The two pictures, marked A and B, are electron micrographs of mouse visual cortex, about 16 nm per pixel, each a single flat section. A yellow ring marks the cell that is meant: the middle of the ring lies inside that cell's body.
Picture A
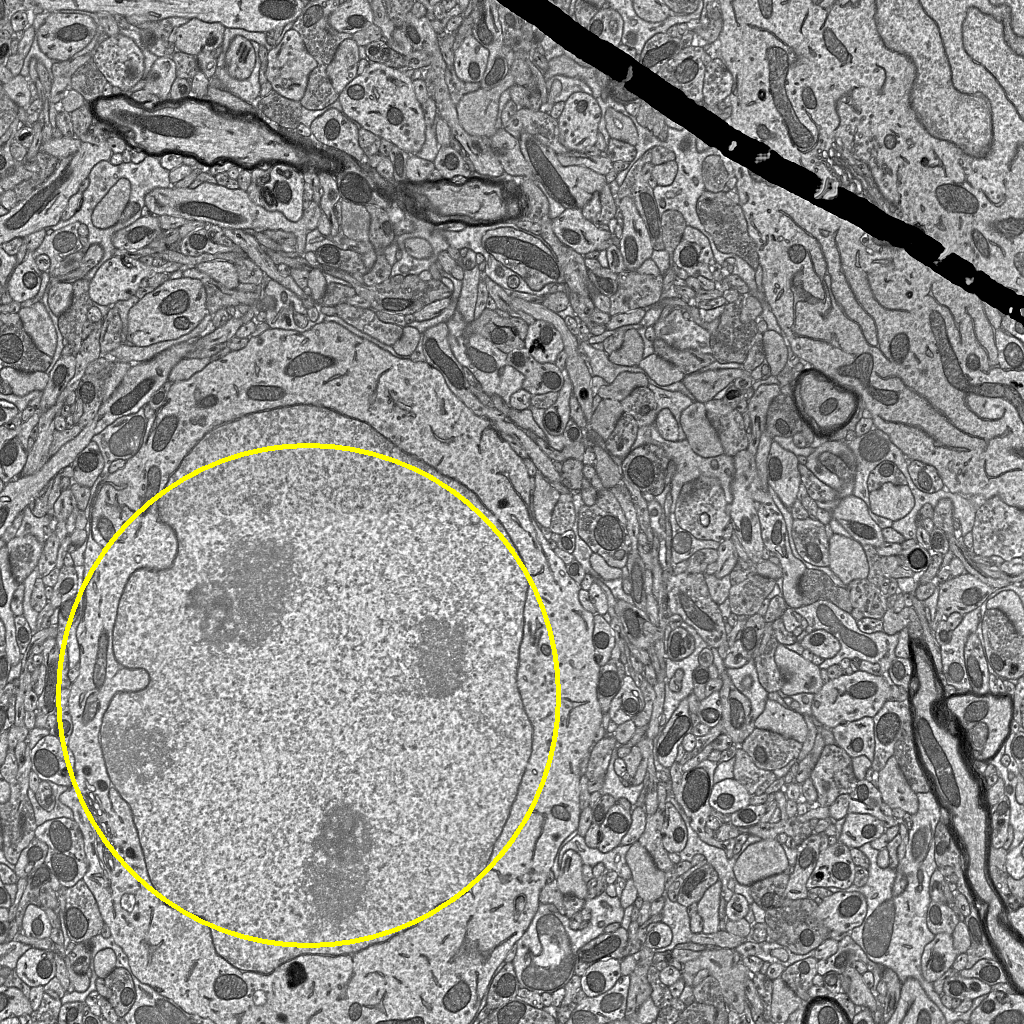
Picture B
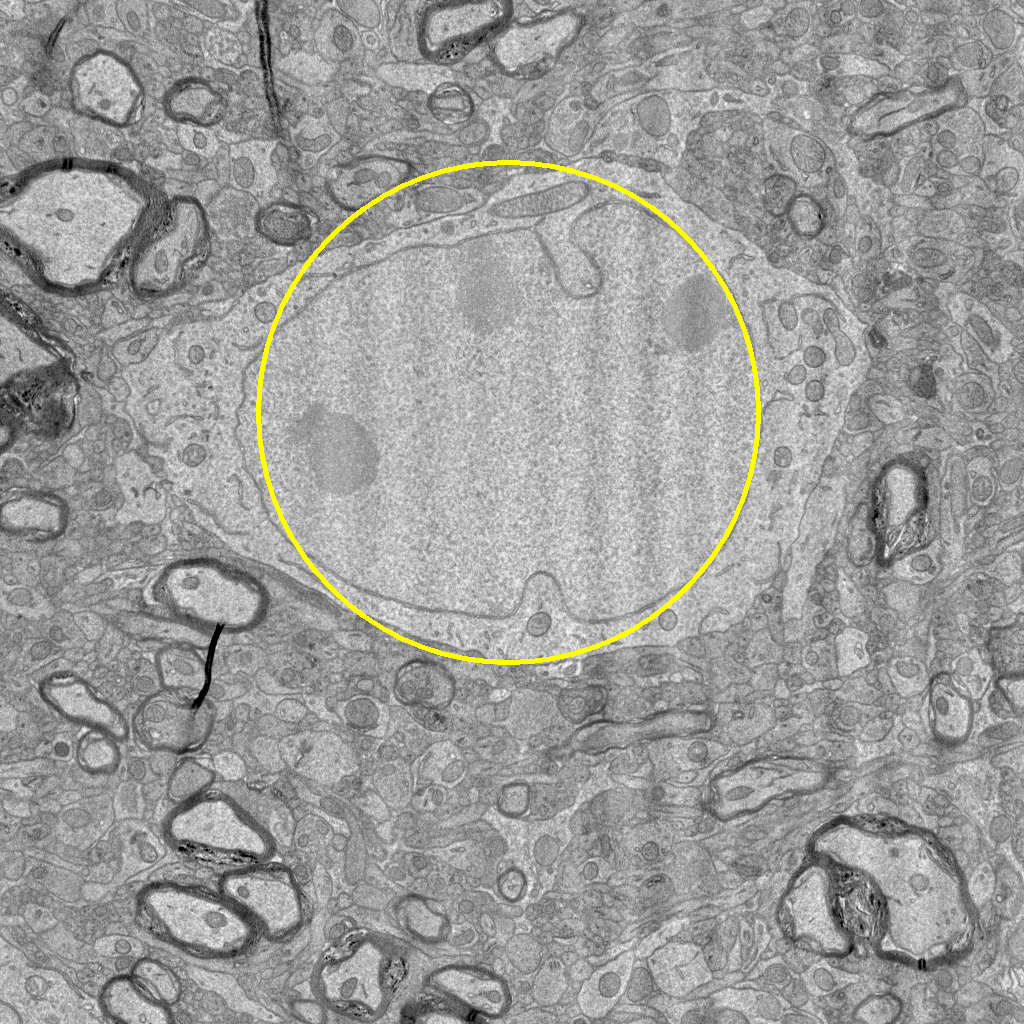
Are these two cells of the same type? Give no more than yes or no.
yes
